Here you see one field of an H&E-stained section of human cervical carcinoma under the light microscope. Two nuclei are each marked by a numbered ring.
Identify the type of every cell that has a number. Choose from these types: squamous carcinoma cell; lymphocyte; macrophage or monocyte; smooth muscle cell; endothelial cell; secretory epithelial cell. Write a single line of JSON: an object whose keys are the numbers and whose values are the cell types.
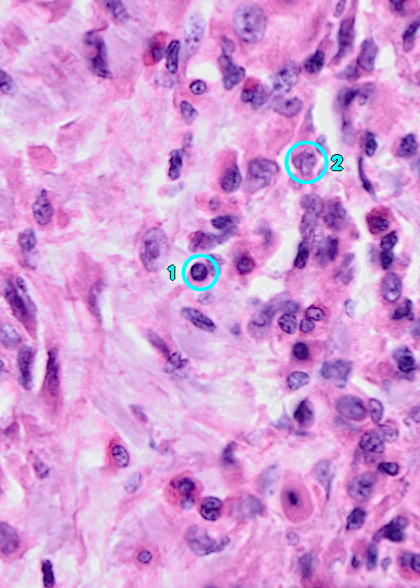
{"1": "lymphocyte", "2": "macrophage or monocyte"}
